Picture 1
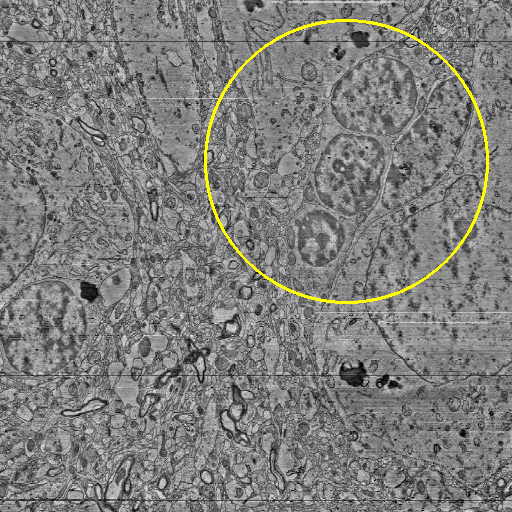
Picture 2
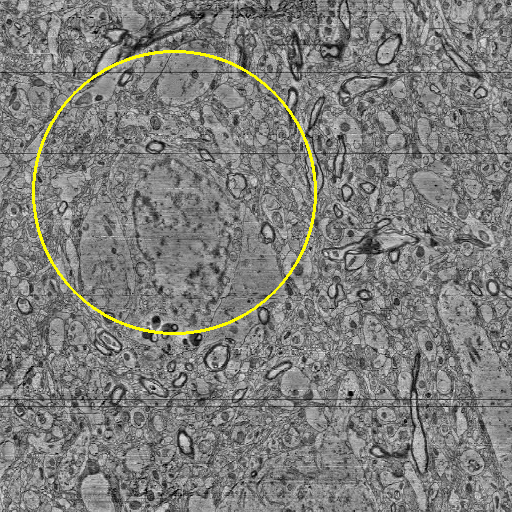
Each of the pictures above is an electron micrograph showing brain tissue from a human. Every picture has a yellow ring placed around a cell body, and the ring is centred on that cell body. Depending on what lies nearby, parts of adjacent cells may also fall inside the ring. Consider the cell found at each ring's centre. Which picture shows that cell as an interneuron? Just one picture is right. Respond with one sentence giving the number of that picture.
The picture showing the wanted cell at the ring's centre is number 2.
